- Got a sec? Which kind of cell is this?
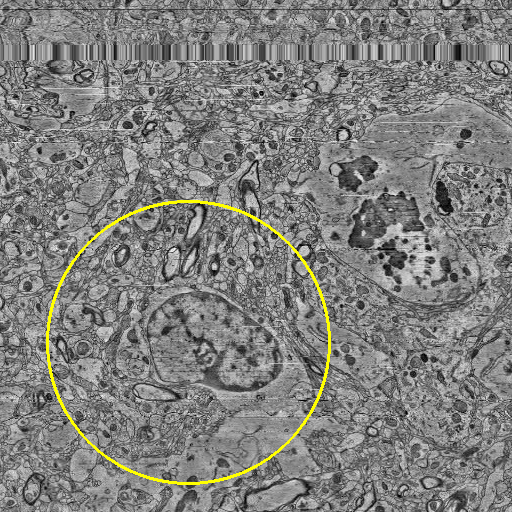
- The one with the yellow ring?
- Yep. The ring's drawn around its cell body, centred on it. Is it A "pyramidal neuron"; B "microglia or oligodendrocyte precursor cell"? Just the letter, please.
B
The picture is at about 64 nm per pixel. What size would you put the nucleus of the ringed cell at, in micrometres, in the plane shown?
In this plane, about 9 micrometres in length and 6 in width.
